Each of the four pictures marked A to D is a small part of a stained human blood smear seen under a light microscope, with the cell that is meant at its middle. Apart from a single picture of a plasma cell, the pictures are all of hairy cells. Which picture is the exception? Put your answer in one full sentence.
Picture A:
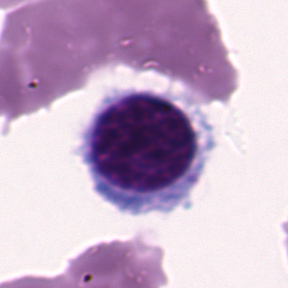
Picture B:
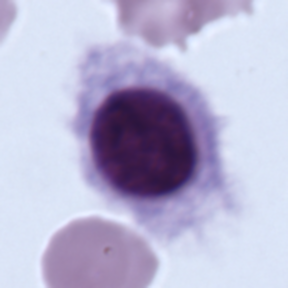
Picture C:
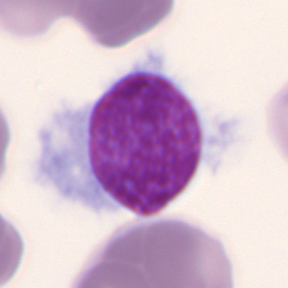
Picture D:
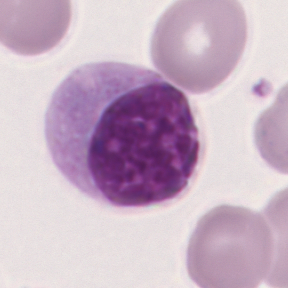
It is picture D that shows the plasma cell.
